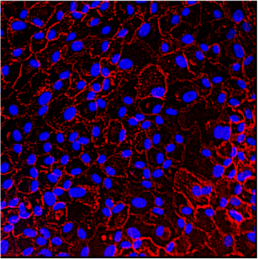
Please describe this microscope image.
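This is a confluent layer of cultured cells with oval blue nuclei. Red staining traces the cell membranes along the cell borders, outlining cells of varied size and irregular polygonal shape. A few cells are large and flattened, and the nuclei within them lie farther apart.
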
